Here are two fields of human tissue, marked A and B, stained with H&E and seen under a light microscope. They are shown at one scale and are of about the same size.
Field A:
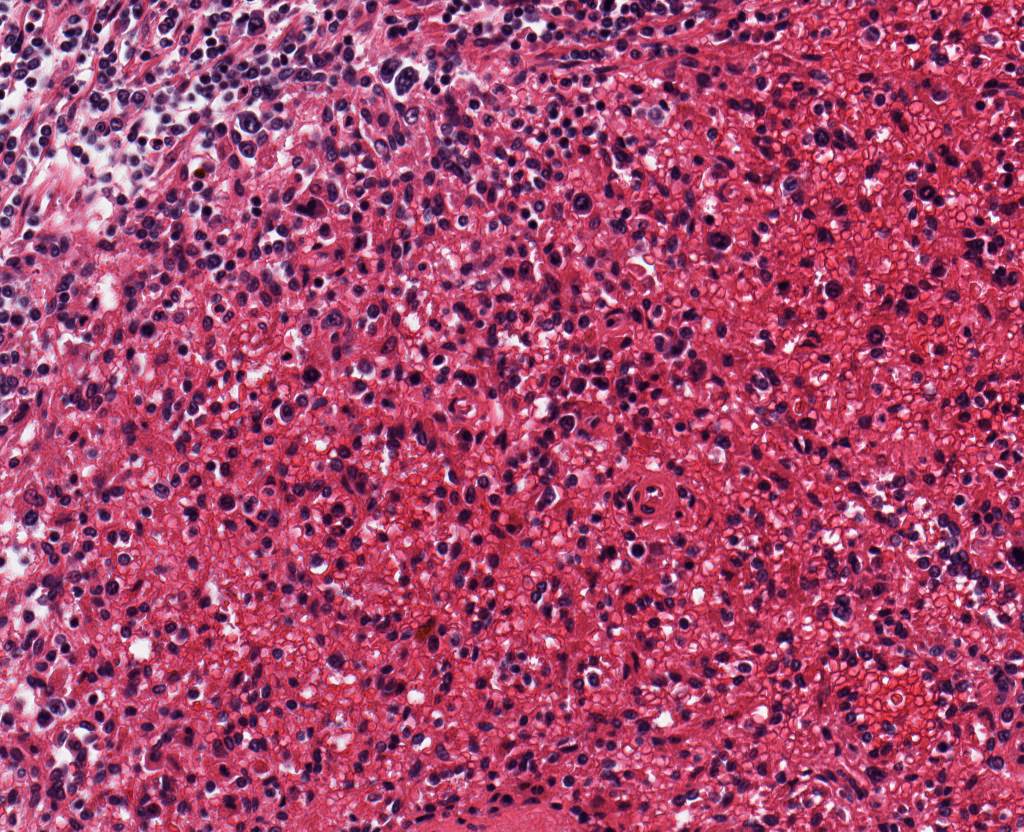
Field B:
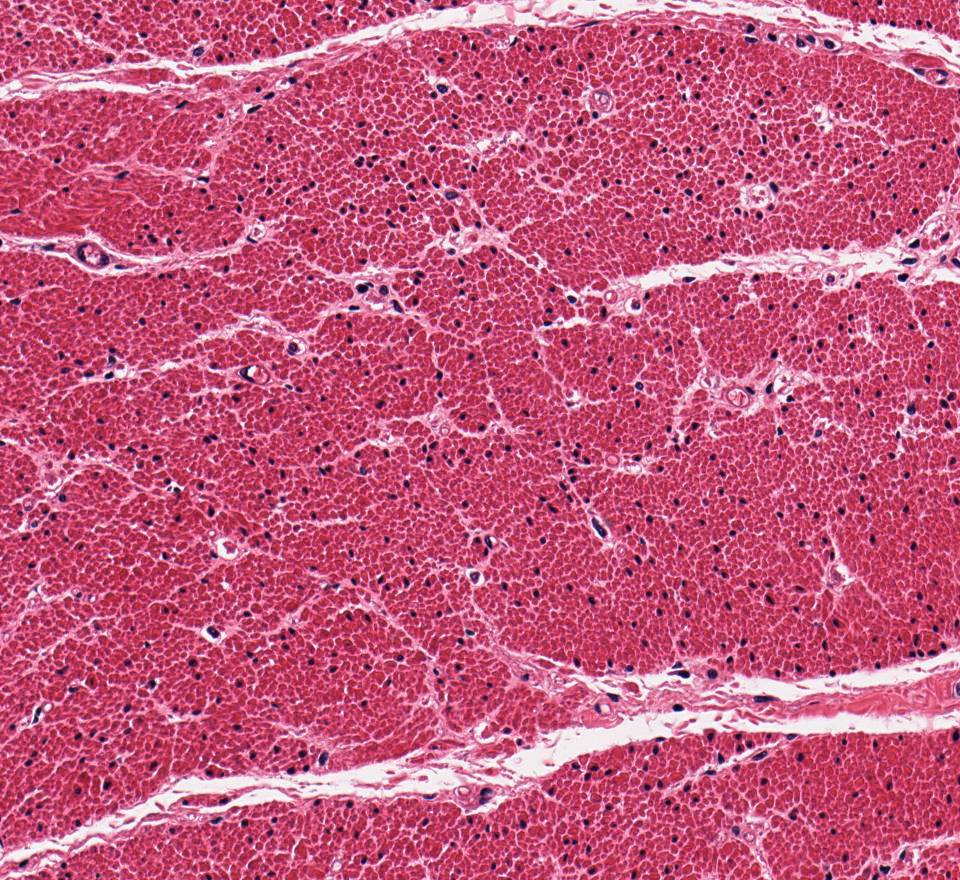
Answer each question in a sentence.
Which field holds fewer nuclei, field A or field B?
Field B holds fewer nuclei than field A.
